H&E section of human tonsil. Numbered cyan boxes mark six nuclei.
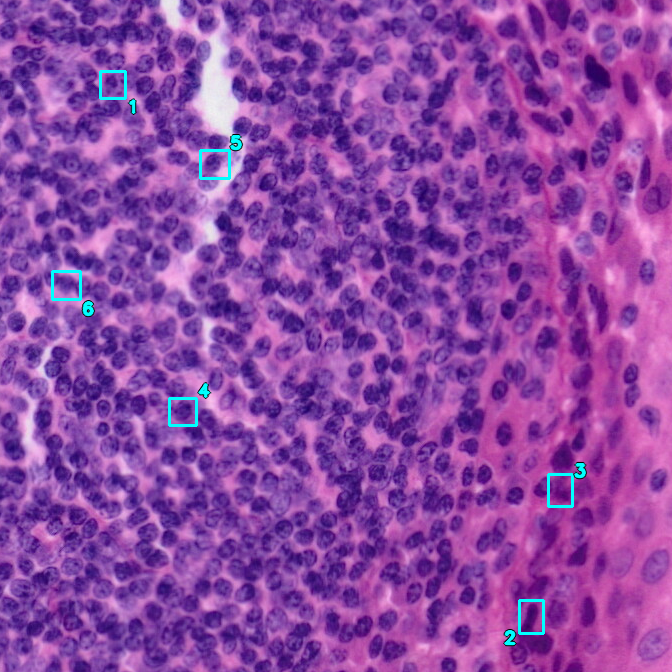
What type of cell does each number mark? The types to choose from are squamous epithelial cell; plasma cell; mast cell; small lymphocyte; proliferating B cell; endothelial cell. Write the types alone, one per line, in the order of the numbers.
small lymphocyte
squamous epithelial cell
squamous epithelial cell
small lymphocyte
small lymphocyte
small lymphocyte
